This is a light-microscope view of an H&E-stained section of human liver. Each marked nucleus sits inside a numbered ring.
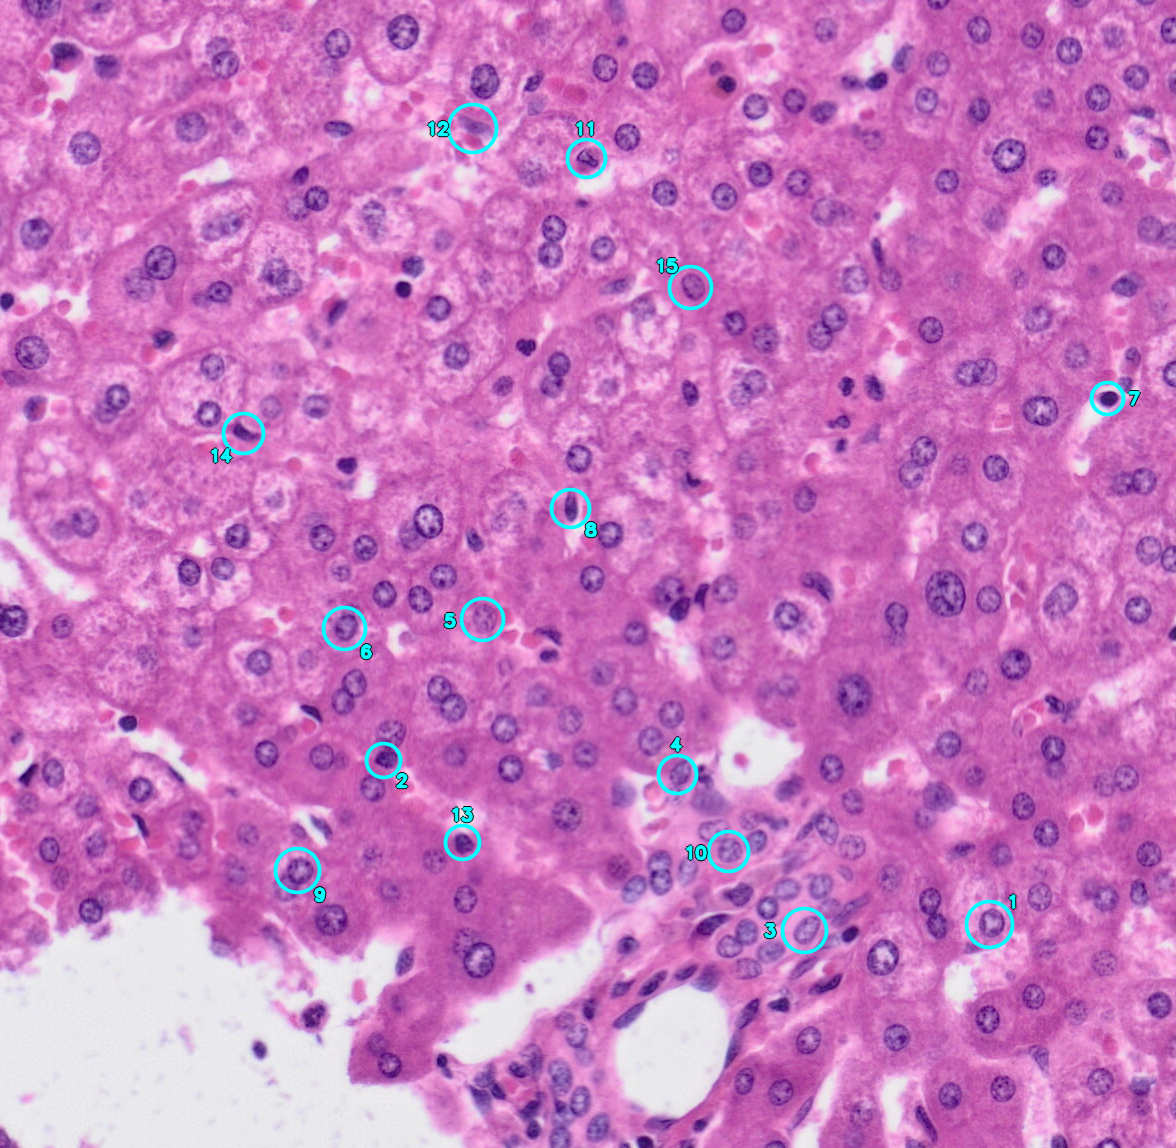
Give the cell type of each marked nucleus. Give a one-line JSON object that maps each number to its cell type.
{"1": "hepatocyte", "2": "fibroblast or stellate cell", "3": "cholangiocyte", "4": "cholangiocyte", "5": "hepatocyte", "6": "hepatocyte", "7": "lymphocyte", "8": "lymphocyte", "9": "hepatocyte", "10": "cholangiocyte", "11": "Kupffer cell", "12": "Kupffer cell", "13": "fibroblast or stellate cell", "14": "fibroblast or stellate cell", "15": "hepatocyte"}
